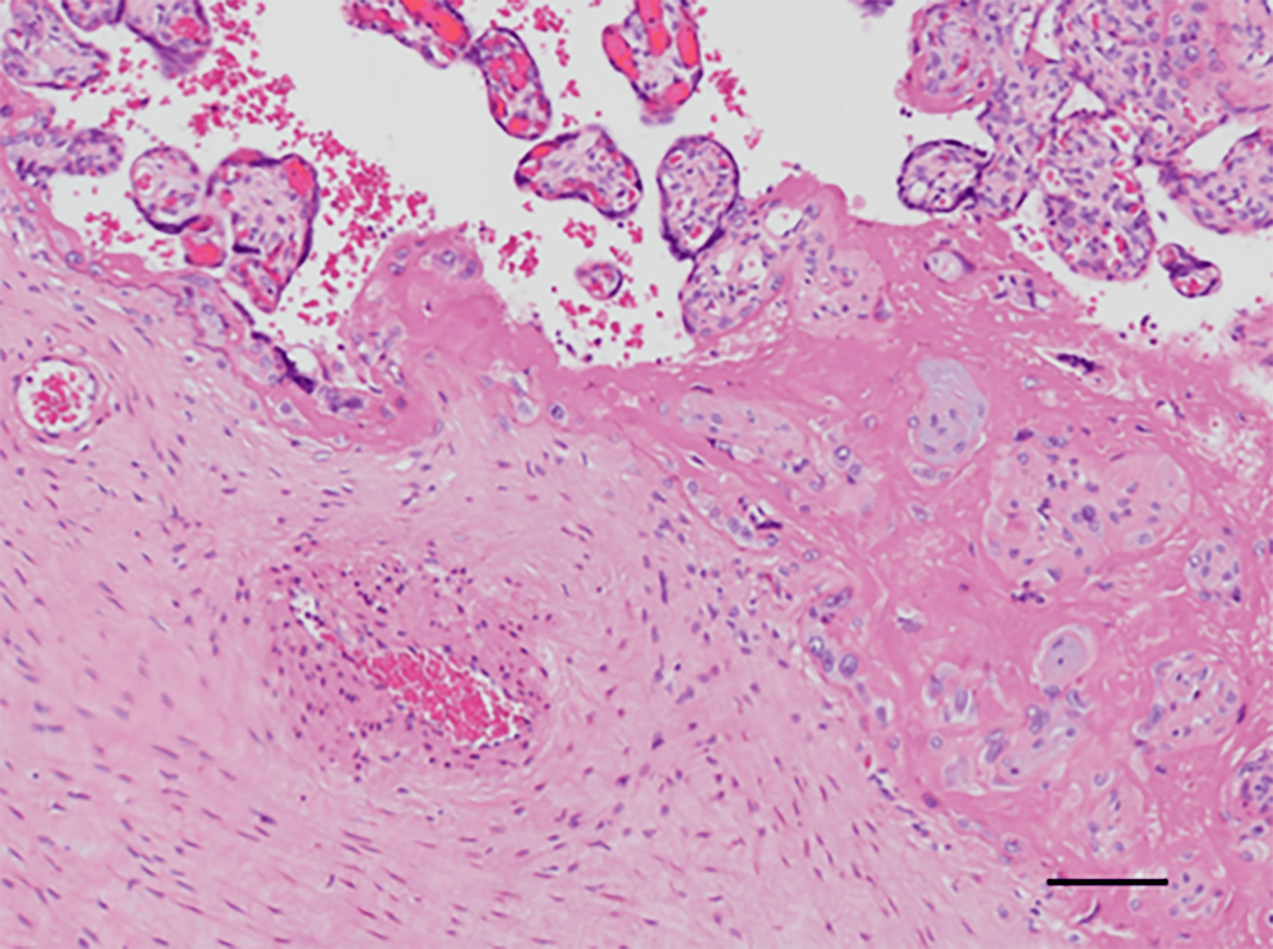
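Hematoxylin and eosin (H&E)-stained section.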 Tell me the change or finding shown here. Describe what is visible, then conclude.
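Extensive fibrin deposition. Broad bands of homogeneous, pale-pink acellular material lie between and around villi on the right. Villi are embedded within this pink material rather than floating free.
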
